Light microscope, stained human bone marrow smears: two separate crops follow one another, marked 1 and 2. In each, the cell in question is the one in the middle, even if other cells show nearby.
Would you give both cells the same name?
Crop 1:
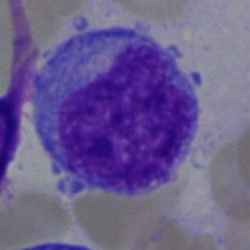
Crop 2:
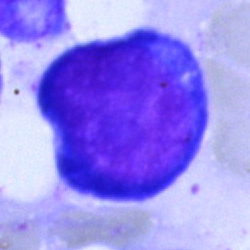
no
